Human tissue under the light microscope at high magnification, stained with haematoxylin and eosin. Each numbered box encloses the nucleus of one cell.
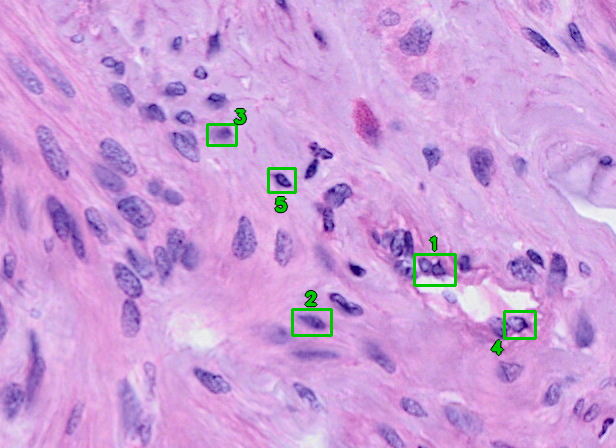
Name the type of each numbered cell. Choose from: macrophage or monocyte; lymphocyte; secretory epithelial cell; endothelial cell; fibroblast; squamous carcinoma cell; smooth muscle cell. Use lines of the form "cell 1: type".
cell 1: endothelial cell
cell 2: fibroblast
cell 3: fibroblast
cell 4: endothelial cell
cell 5: fibroblast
